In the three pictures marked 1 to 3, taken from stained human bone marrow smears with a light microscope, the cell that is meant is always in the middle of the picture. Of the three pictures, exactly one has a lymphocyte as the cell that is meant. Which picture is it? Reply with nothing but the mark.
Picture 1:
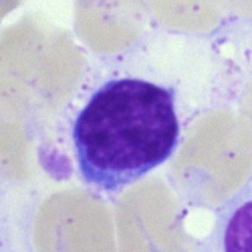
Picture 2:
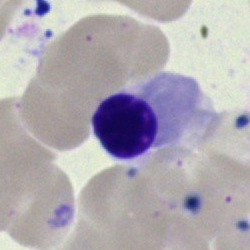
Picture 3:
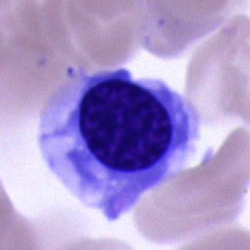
1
